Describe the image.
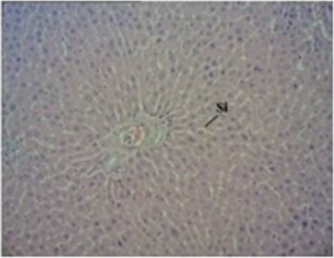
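This is liver tissue showing a lobule centred on a central vein, with hepatocytes arranged in plates that radiate outward from the vein. The vein lumen contains a few red blood cells. Between the hepatocyte plates run narrow pale sinusoids in a regular, spoke-like pattern. The hepatocytes are polygonal cells with pink cytoplasm and round, centrally placed purple nuclei. The arrangement is orderly throughout the field, with no pale structureless areas, no pools of red blood cells in the tissue and no clusters of small dark inflammatory cells.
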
